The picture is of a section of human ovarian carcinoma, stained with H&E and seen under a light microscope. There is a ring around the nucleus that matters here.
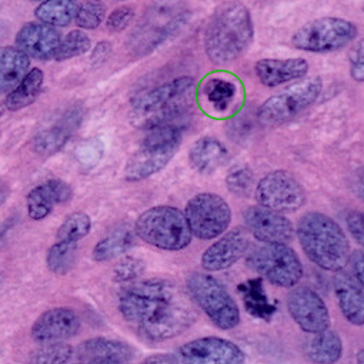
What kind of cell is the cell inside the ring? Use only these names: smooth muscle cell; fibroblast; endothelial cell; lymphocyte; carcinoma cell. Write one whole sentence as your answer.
As a matter of cell type, the cell inside the ring is a lymphocyte.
